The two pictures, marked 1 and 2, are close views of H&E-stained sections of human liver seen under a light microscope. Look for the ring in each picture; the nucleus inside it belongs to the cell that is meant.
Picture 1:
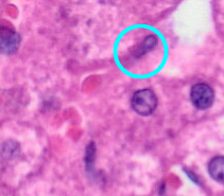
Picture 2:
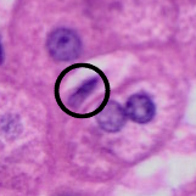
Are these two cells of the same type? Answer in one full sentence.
Yes, both are Kupffer cells.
